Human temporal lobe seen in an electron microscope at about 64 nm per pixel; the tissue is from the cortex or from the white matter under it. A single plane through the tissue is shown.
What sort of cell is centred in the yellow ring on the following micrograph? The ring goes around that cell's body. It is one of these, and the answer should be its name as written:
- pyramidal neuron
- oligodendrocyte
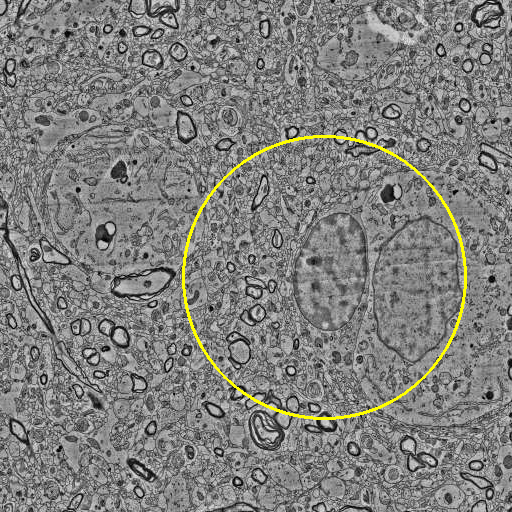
oligodendrocyte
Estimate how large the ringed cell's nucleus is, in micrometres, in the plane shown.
In this plane the nucleus is clearly longer than it is wide: roughly 8 by 5 micrometres.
